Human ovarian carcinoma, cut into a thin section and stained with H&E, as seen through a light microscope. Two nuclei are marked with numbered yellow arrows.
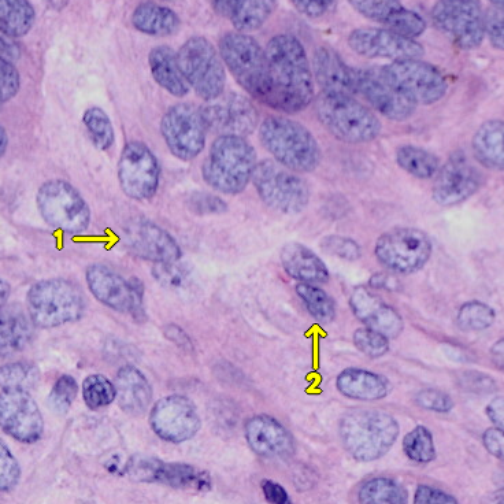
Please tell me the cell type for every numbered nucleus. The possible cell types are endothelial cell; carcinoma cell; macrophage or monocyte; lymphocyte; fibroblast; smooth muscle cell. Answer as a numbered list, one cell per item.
1. fibroblast
2. endothelial cell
